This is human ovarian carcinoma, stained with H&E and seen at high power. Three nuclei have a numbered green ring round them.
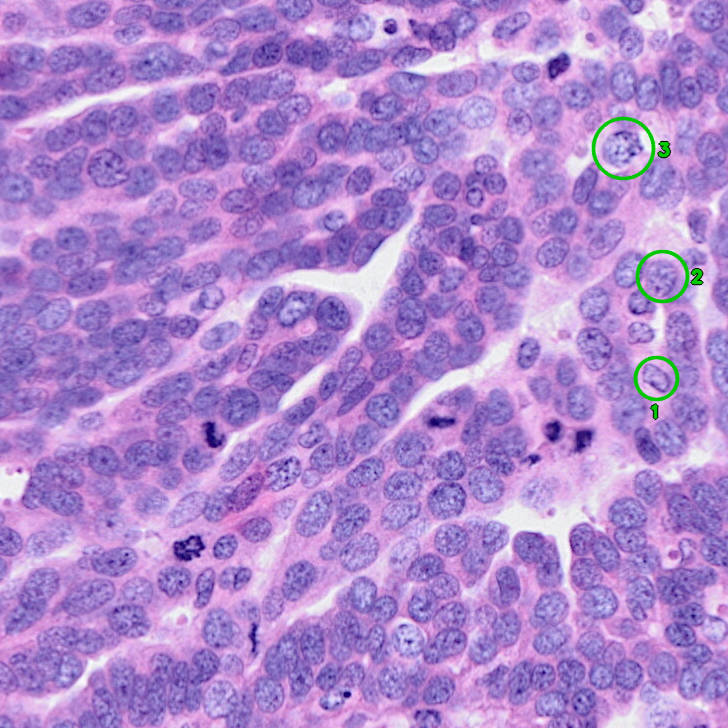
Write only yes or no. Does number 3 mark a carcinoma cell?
no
